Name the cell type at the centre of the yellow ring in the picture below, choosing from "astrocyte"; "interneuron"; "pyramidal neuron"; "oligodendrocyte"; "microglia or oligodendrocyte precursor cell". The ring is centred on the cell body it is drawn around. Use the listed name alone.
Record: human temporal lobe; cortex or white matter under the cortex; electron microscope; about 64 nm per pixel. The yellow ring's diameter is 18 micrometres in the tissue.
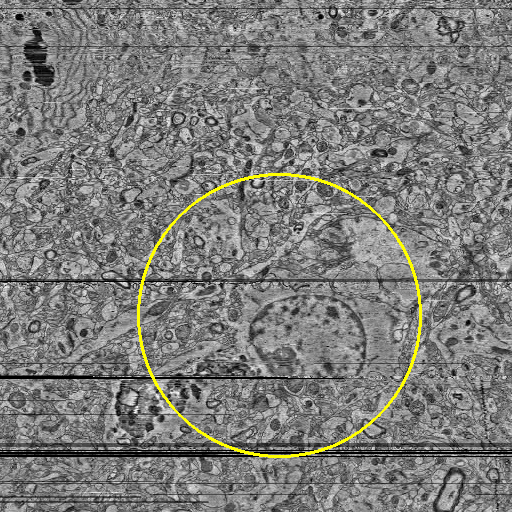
astrocyte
